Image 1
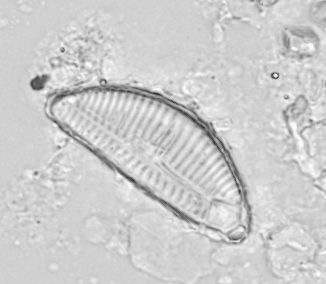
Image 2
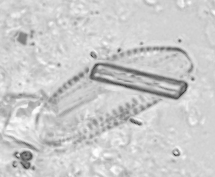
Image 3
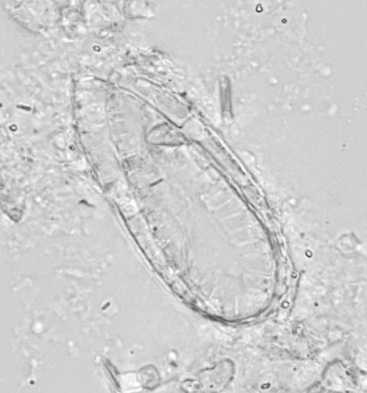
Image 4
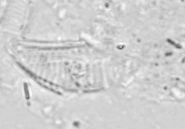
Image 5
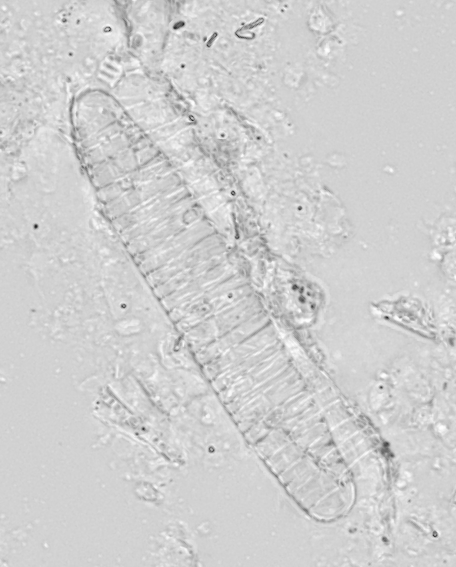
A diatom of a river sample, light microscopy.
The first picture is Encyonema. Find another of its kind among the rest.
Picture 4.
